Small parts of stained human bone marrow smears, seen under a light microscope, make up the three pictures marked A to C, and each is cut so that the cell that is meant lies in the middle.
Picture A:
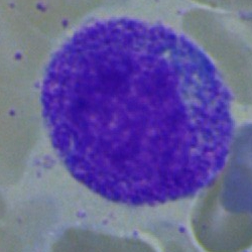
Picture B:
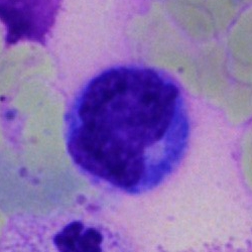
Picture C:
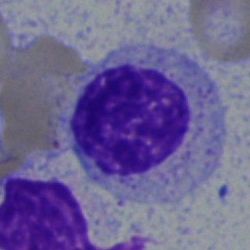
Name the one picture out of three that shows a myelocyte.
C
